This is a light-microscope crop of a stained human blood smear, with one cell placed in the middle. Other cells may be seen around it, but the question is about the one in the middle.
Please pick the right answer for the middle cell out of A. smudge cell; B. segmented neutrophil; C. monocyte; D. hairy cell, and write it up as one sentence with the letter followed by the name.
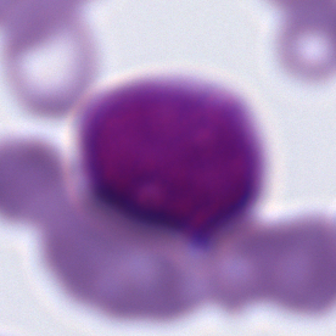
In this crop the central cell is a smudge cell, which option A correctly states.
